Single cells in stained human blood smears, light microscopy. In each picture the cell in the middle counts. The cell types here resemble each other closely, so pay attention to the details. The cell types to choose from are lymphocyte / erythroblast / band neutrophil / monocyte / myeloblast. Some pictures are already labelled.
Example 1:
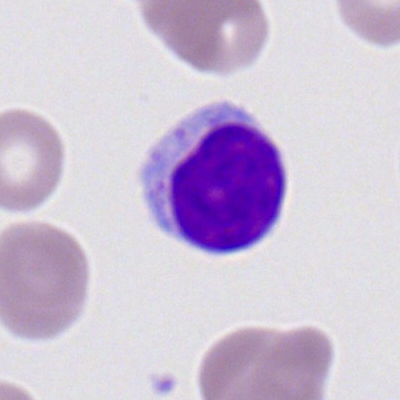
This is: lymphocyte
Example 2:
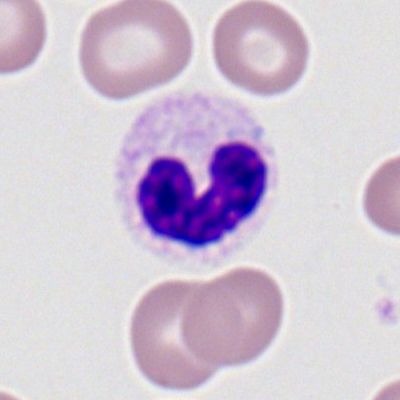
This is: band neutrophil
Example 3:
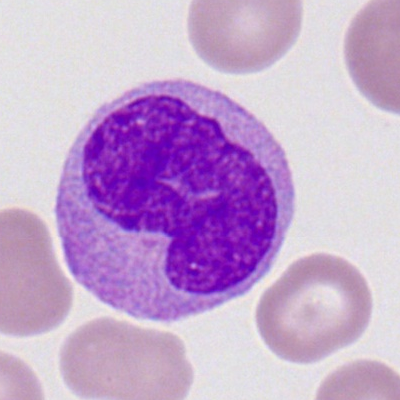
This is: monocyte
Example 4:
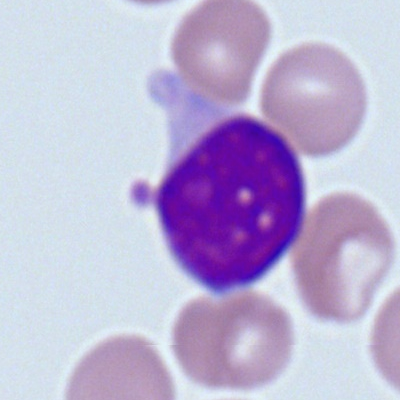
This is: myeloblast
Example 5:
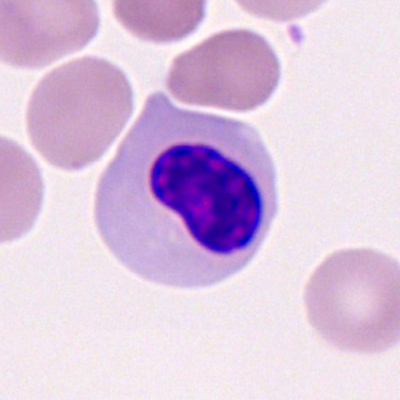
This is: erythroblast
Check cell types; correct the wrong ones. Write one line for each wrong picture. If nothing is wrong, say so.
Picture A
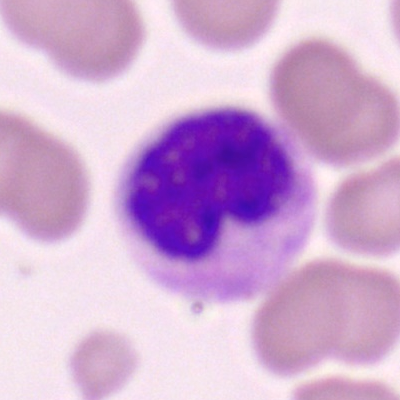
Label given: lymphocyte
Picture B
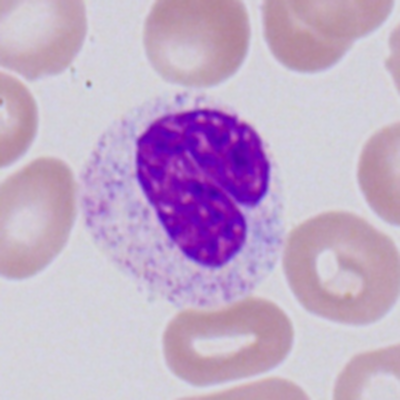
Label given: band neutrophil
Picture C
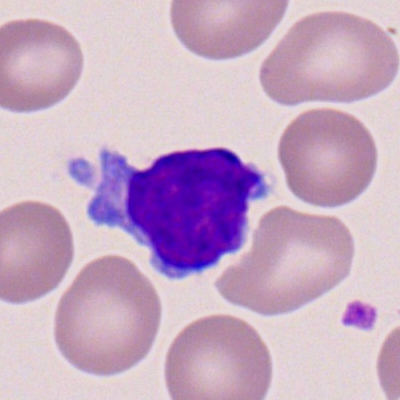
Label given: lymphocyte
Wrong: A (lymphocyte); correct: band neutrophil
